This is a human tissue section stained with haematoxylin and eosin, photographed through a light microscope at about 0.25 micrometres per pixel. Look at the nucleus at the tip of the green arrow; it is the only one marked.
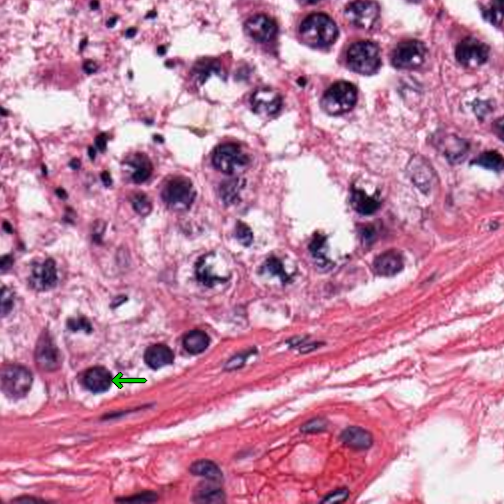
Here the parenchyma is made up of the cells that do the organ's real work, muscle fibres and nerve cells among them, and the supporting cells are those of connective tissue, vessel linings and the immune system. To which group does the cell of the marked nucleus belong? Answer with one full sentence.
The cell to which the marked nucleus belongs is a spermatogonium, a parenchymal cell.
